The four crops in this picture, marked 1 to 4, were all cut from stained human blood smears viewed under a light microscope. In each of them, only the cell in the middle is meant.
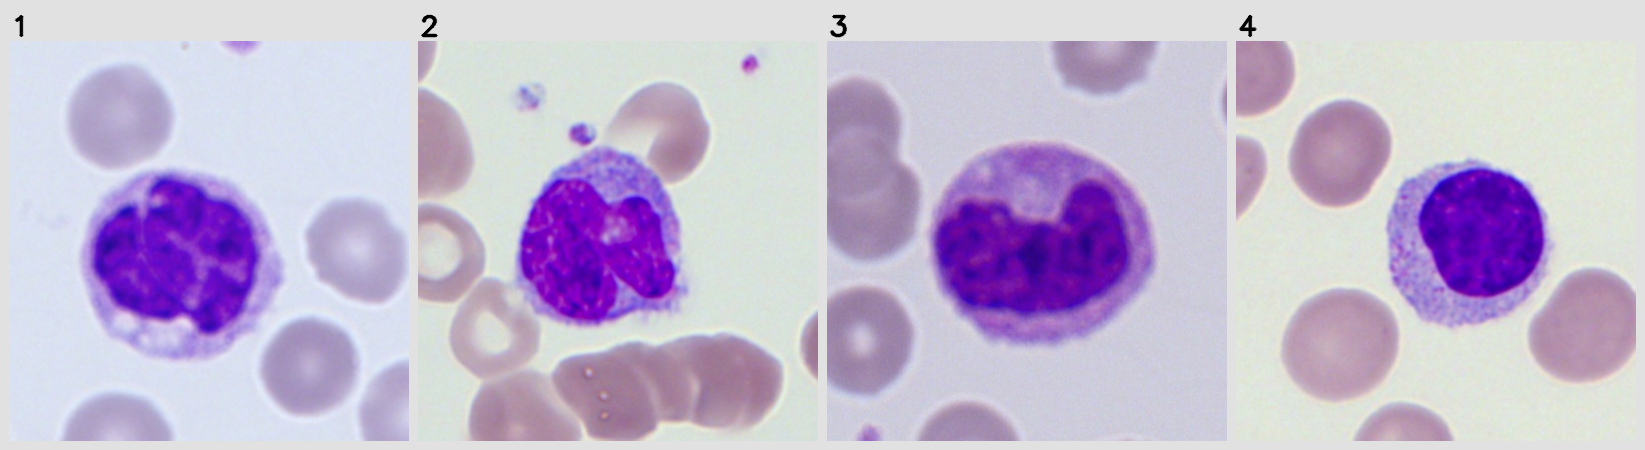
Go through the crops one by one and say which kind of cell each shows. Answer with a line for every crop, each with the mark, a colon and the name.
1: monocyte
2: monocyte
3: monocyte
4: lymphocyte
